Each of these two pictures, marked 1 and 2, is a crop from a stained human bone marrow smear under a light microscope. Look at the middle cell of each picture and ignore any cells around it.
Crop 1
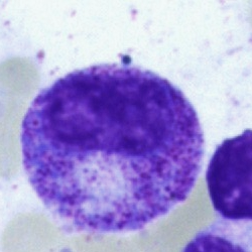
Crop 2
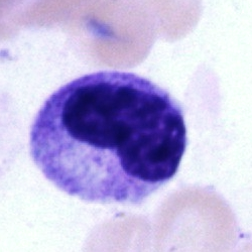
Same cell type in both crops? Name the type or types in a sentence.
No, crop 1 shows a myelocyte, with a metamyelocyte shown in crop 2.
